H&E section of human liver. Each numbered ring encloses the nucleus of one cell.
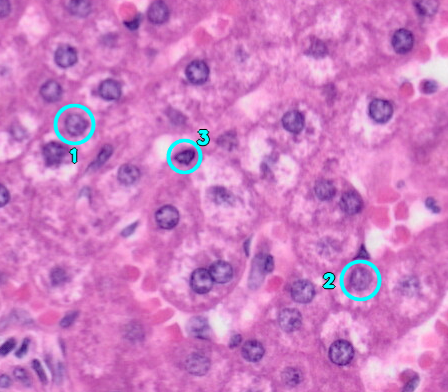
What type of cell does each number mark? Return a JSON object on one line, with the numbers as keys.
{"1": "hepatocyte", "2": "hepatocyte", "3": "Kupffer cell"}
